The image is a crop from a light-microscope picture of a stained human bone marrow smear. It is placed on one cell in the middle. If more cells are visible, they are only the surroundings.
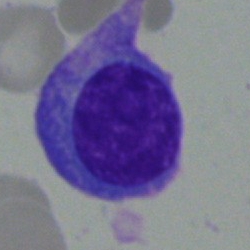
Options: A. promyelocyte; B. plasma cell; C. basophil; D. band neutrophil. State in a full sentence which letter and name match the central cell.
The one to choose is option B, as the cell in the middle is a plasma cell.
